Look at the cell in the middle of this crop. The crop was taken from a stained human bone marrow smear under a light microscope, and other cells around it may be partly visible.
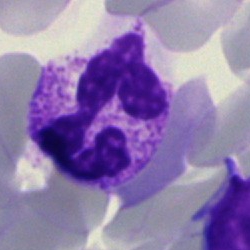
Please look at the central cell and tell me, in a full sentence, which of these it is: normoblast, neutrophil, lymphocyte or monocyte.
Classified as a neutrophil is the cell in the middle of this crop.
